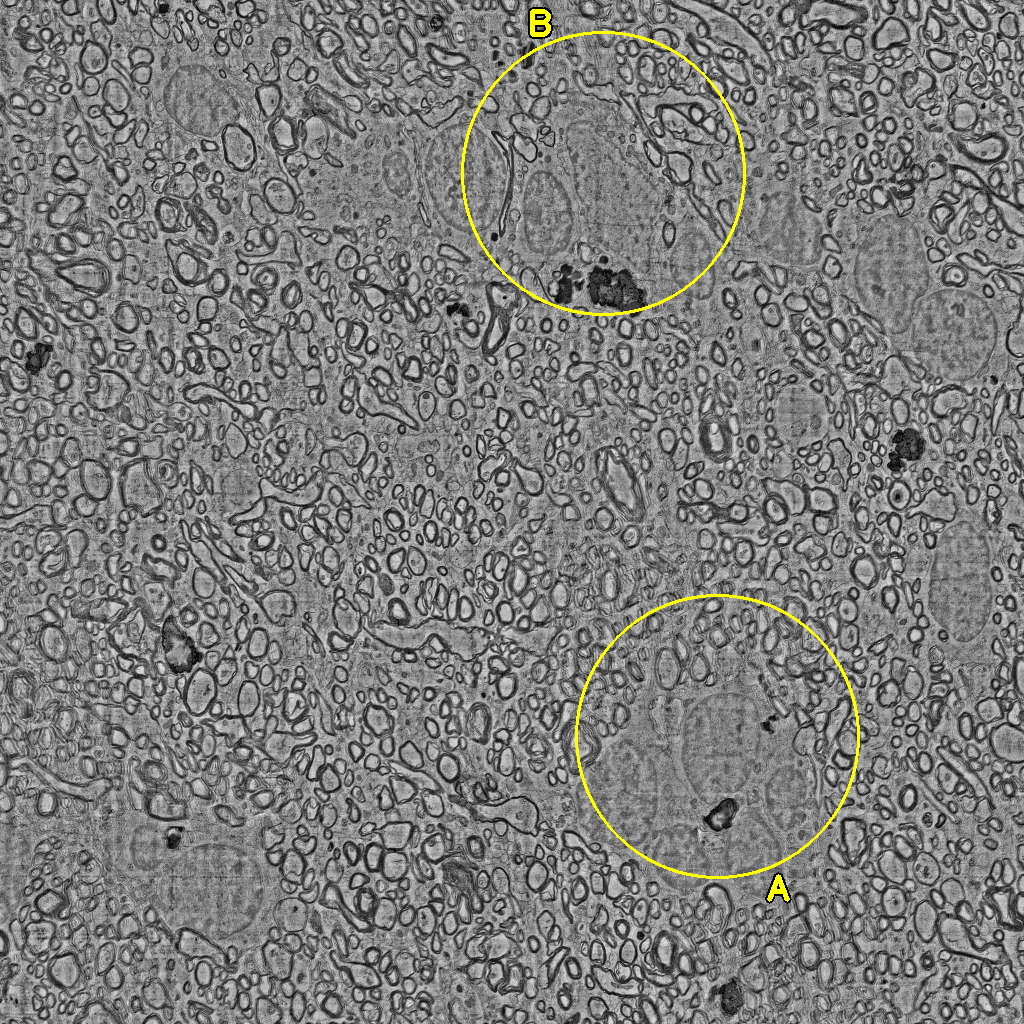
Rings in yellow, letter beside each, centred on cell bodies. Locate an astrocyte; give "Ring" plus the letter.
Ring B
